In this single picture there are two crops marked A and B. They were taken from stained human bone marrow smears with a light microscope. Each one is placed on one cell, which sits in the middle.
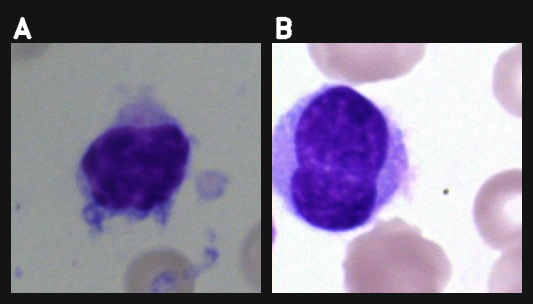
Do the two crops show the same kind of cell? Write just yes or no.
yes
